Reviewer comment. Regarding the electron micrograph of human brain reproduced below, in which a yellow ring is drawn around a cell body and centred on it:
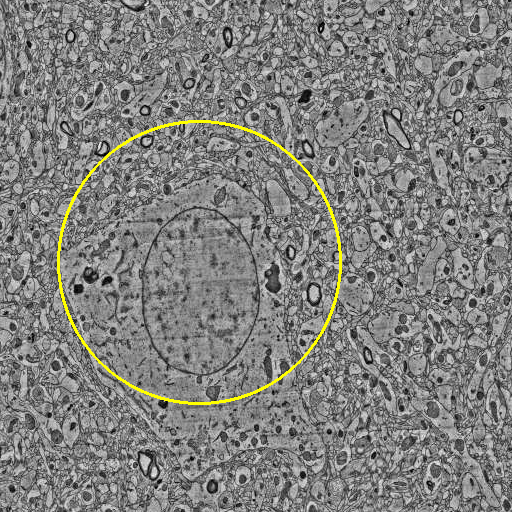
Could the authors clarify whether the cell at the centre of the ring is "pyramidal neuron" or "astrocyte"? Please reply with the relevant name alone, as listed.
pyramidal neuron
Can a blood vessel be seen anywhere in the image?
No, there is none.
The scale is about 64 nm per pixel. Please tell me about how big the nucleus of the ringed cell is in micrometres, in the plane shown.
The ringed cell's nucleus is about 11 micrometres long and 7 micrometres wide in this plane.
